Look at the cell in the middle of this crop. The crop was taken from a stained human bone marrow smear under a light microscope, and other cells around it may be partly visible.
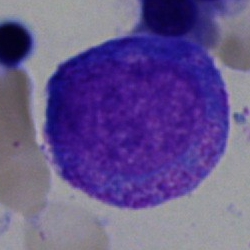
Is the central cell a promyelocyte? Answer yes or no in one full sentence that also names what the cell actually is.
Yes, a promyelocyte is present in the middle of the crop.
